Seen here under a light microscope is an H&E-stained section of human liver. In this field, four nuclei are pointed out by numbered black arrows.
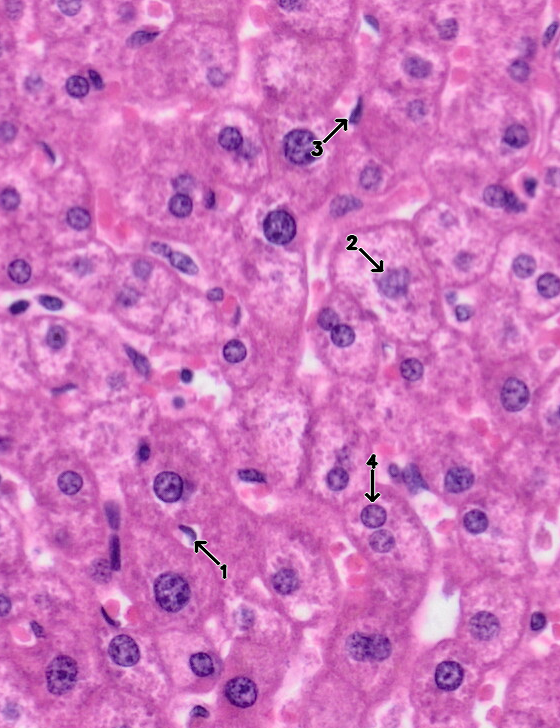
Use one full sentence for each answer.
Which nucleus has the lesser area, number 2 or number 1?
It is nucleus 1; nucleus 2 has about 4 times its area.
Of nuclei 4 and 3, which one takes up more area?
Nucleus 4 is larger, with an area about 2.5 times that of nucleus 3.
